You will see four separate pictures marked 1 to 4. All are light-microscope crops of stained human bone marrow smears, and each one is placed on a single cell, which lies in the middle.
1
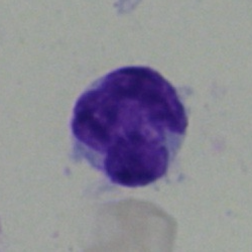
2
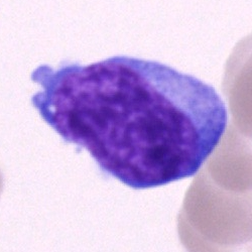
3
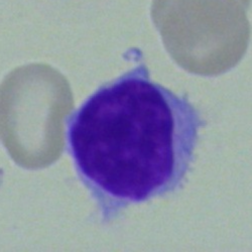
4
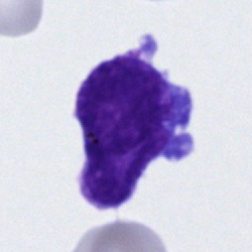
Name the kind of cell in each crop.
1: lymphocyte
2: blast
3: lymphocyte
4: blast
